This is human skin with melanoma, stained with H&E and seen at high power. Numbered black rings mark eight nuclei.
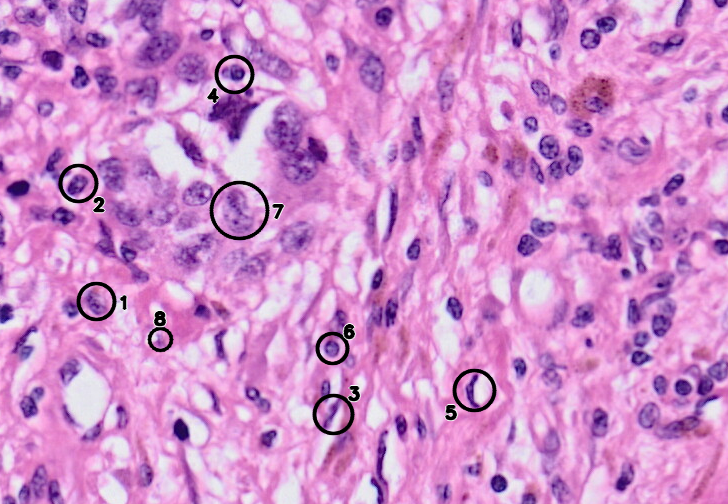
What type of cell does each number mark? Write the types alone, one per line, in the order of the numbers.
macrophage or monocyte
lymphocyte
fibroblast or myofibroblast
lymphocyte
fibroblast or myofibroblast
lymphocyte
melanoma cell
fibroblast or myofibroblast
